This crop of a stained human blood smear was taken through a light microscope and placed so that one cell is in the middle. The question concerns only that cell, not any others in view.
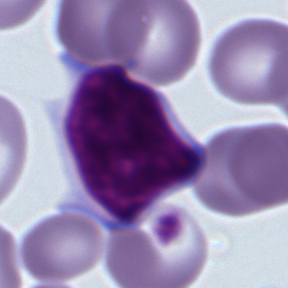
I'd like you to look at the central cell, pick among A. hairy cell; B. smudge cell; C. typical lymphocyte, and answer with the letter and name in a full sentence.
Answer key: option C, the middle cell being a typical lymphocyte.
